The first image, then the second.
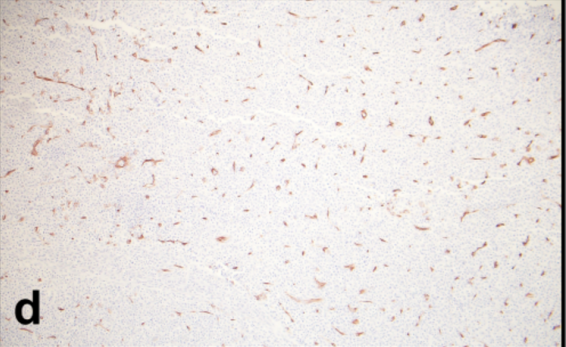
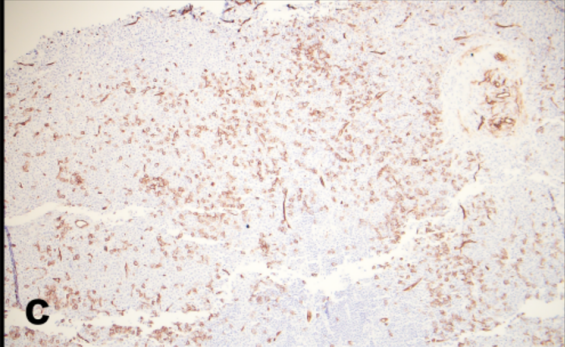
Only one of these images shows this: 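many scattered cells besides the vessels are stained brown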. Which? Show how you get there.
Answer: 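The second image. First image: brown stain is limited mostly to thin elongated vessel outlines. Second image: numerous round brown-stained cells lie in clusters between the vessels.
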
